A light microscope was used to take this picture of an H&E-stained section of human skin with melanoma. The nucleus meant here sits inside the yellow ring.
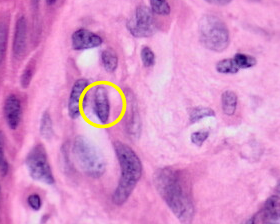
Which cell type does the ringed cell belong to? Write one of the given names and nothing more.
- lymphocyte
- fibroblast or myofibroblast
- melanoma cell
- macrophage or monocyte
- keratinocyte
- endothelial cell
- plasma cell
endothelial cell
